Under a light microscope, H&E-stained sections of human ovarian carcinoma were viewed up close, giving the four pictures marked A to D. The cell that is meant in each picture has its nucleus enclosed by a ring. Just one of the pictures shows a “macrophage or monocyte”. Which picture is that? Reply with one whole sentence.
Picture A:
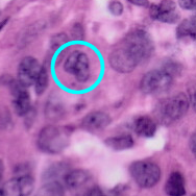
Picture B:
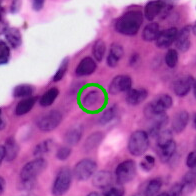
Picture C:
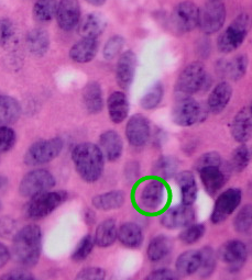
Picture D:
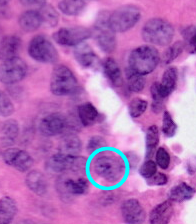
The cell in picture A is the “macrophage or monocyte”.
